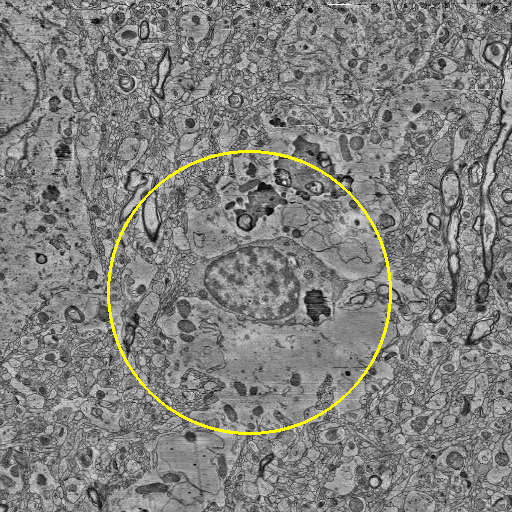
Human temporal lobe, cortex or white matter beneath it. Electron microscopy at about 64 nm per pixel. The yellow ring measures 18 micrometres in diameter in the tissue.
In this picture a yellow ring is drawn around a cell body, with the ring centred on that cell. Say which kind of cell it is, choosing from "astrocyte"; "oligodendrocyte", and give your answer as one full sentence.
Here it is an oligodendrocyte that sits at the centre of the drawn yellow ring.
